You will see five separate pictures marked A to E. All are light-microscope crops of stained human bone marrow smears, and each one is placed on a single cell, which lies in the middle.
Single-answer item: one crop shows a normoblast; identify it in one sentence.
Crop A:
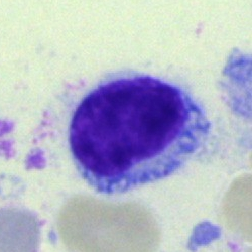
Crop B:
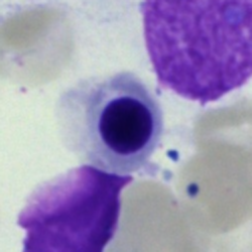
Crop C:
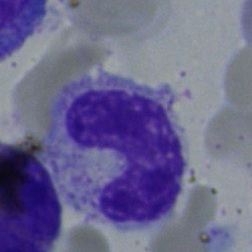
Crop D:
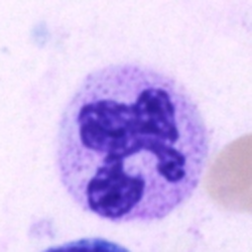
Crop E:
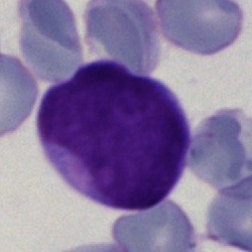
Of the labeled crops, the one with a normoblast is crop B.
